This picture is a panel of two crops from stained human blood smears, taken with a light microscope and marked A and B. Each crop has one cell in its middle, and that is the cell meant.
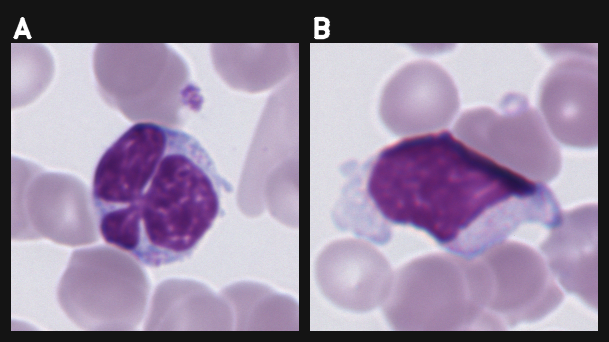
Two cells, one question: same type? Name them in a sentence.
Yes, both crops show large granular lymphocytes, the one and the other.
